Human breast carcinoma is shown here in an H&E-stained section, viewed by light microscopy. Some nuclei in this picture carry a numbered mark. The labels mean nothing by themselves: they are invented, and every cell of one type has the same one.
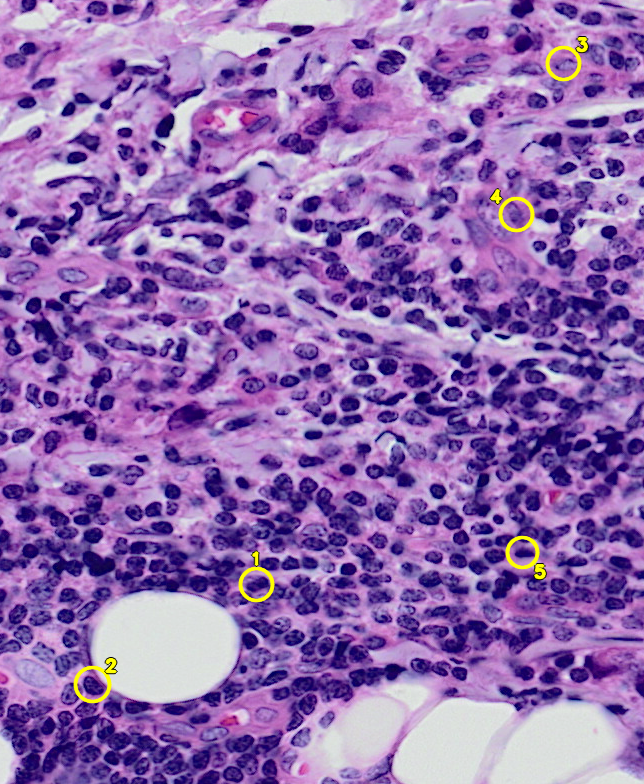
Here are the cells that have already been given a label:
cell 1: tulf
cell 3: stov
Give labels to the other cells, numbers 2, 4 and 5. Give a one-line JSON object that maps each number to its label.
{"2": "tulf", "4": "stov", "5": "tulf"}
